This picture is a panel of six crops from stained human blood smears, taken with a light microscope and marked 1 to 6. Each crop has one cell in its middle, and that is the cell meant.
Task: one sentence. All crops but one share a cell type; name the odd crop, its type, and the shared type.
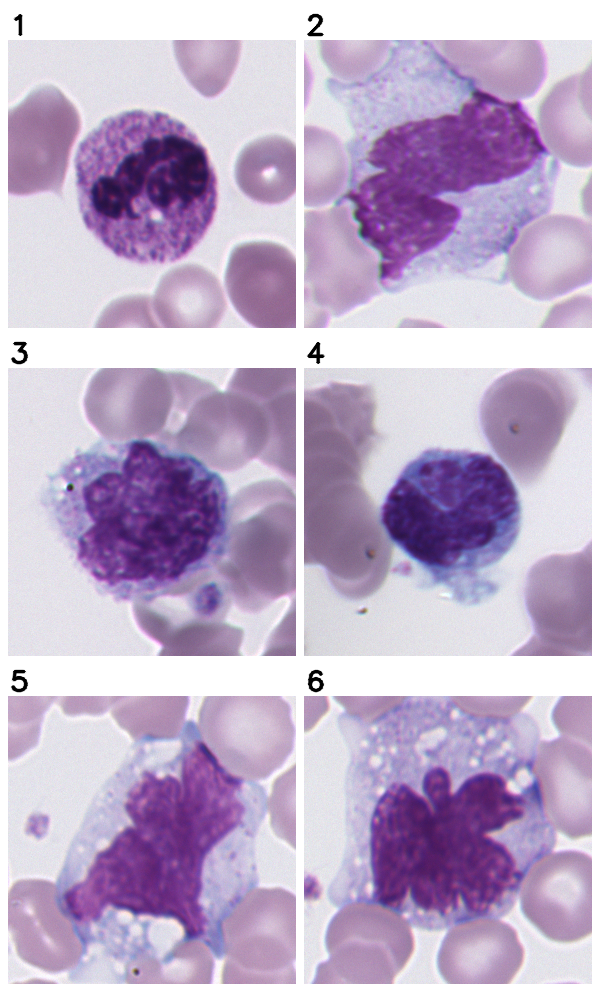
The pattern of monocytes across the crops is broken only by crop 1, which shows a segmented neutrophil.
